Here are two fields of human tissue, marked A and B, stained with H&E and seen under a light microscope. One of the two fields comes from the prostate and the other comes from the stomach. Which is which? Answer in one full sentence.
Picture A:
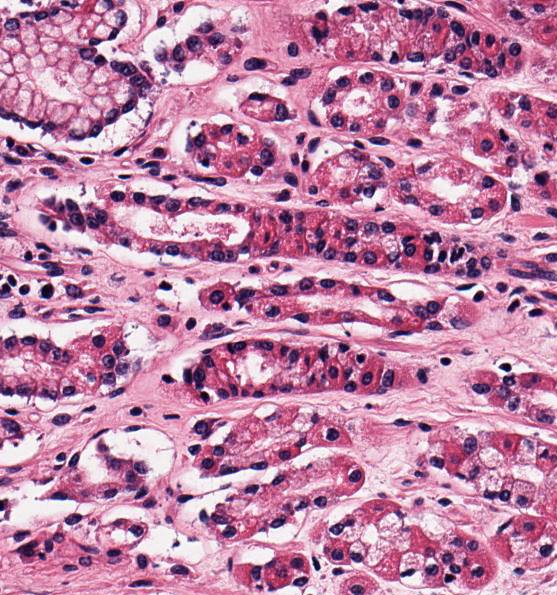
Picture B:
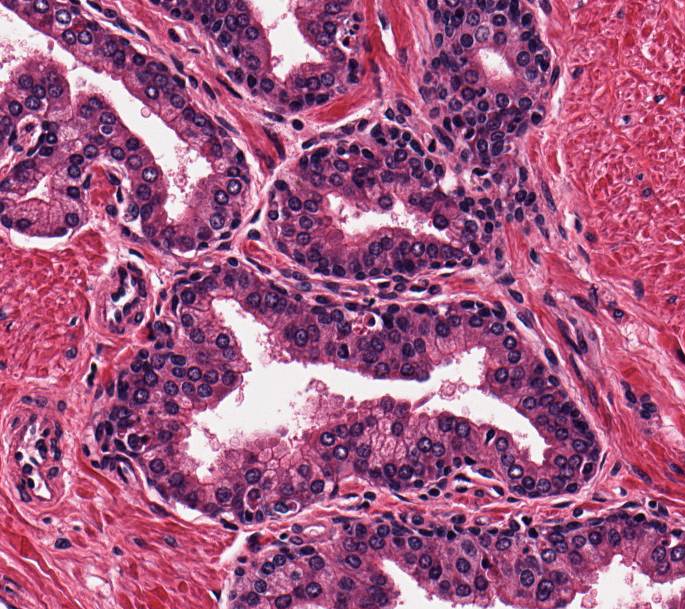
Picture A comes from the stomach; picture B comes from the prostate.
